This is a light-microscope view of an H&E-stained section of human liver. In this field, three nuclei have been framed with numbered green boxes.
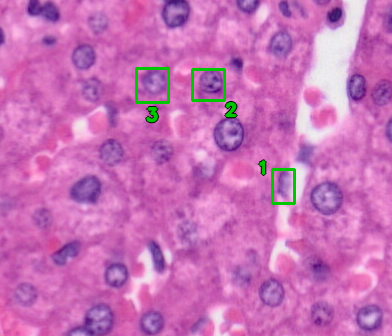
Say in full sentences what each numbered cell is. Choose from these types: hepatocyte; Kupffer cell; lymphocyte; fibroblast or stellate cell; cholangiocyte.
Cell 1 is a Kupffer cell, cell 2 is a hepatocyte and cell 3 is a hepatocyte.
